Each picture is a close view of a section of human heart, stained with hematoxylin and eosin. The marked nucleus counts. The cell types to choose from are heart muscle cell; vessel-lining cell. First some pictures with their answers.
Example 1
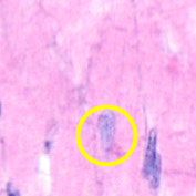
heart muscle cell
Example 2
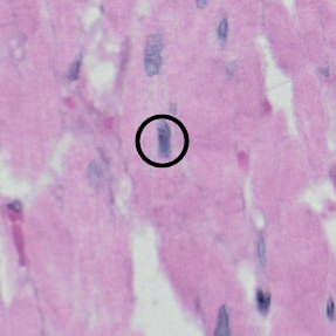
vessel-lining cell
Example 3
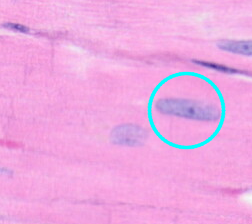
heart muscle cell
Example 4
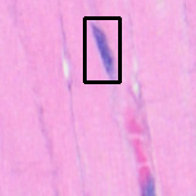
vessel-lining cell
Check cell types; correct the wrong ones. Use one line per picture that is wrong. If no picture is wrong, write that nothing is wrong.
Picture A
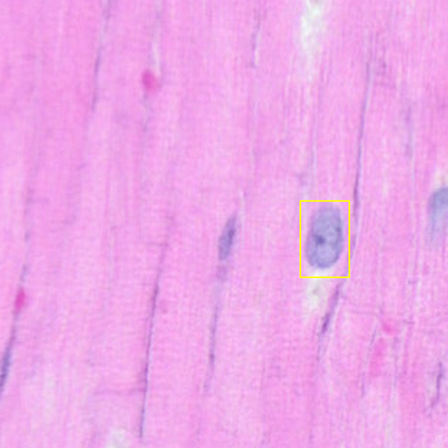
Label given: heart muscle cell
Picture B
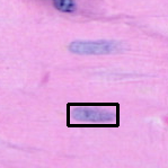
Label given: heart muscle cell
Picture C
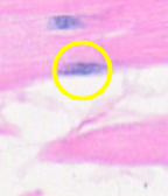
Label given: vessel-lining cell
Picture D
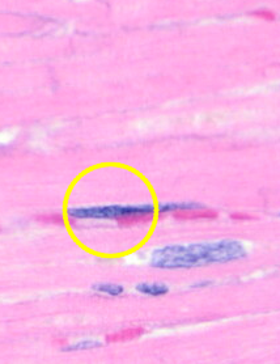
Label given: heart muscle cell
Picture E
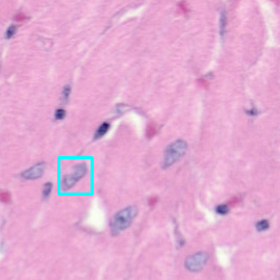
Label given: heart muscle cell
D is labelled heart muscle cell; correct label: vessel-lining cell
